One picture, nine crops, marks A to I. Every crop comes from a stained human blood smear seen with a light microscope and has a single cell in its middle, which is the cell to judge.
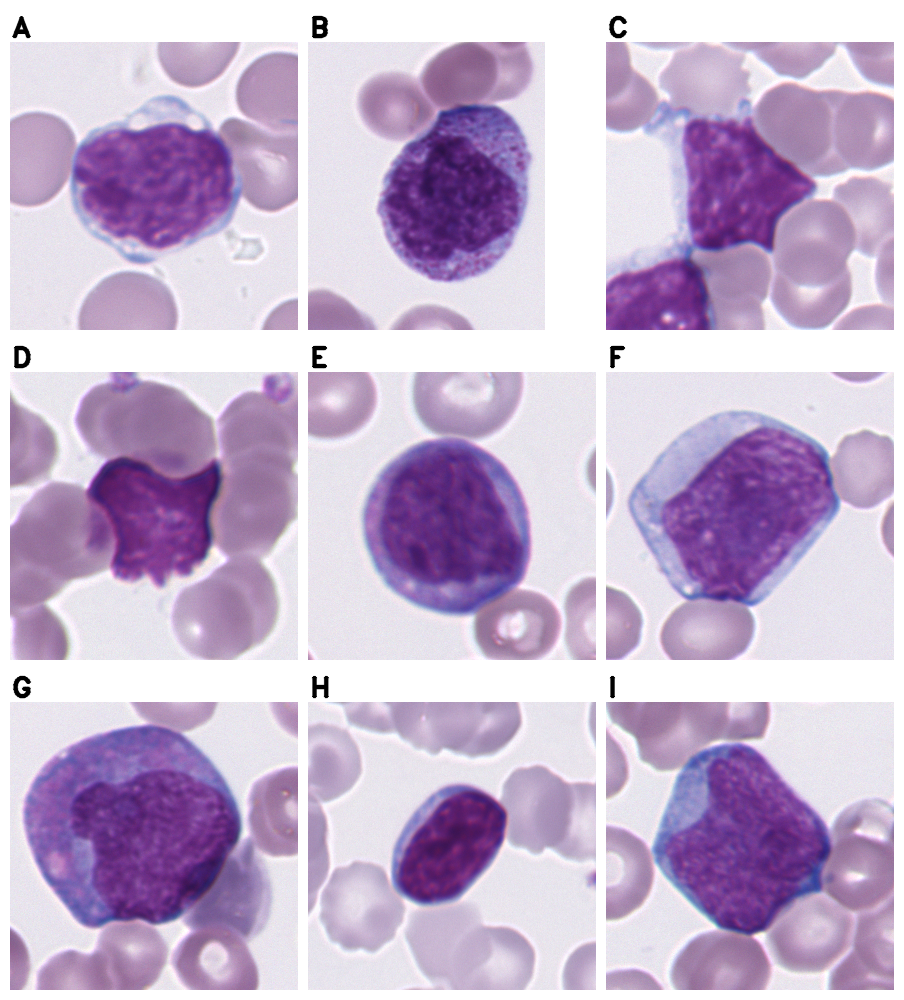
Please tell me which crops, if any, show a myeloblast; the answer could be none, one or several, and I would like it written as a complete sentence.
In this set, crops A, F and I show myeloblasts.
